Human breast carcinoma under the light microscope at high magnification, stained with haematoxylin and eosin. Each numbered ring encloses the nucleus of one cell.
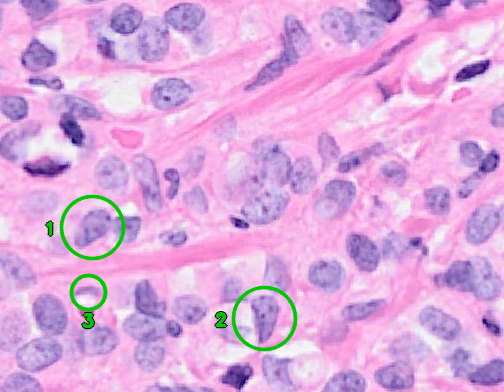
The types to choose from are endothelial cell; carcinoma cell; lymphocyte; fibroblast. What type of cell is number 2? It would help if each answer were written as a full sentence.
In this section, the cell tagged 2 is a carcinoma cell.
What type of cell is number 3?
Cell 3 of the marked set is an endothelial cell.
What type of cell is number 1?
The nucleus with number 1 is that of a carcinoma cell.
